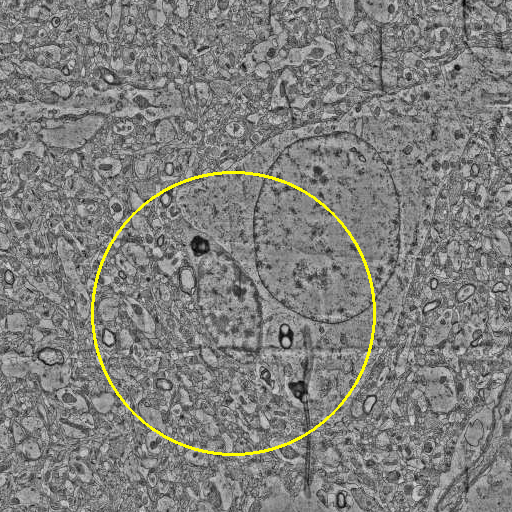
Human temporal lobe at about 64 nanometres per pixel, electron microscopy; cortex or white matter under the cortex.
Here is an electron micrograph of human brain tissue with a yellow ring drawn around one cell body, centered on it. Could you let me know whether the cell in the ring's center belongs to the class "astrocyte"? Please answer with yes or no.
no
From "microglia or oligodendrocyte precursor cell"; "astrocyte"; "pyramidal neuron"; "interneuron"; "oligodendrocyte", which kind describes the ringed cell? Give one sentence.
The cell marked by the ring is an oligodendrocyte.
